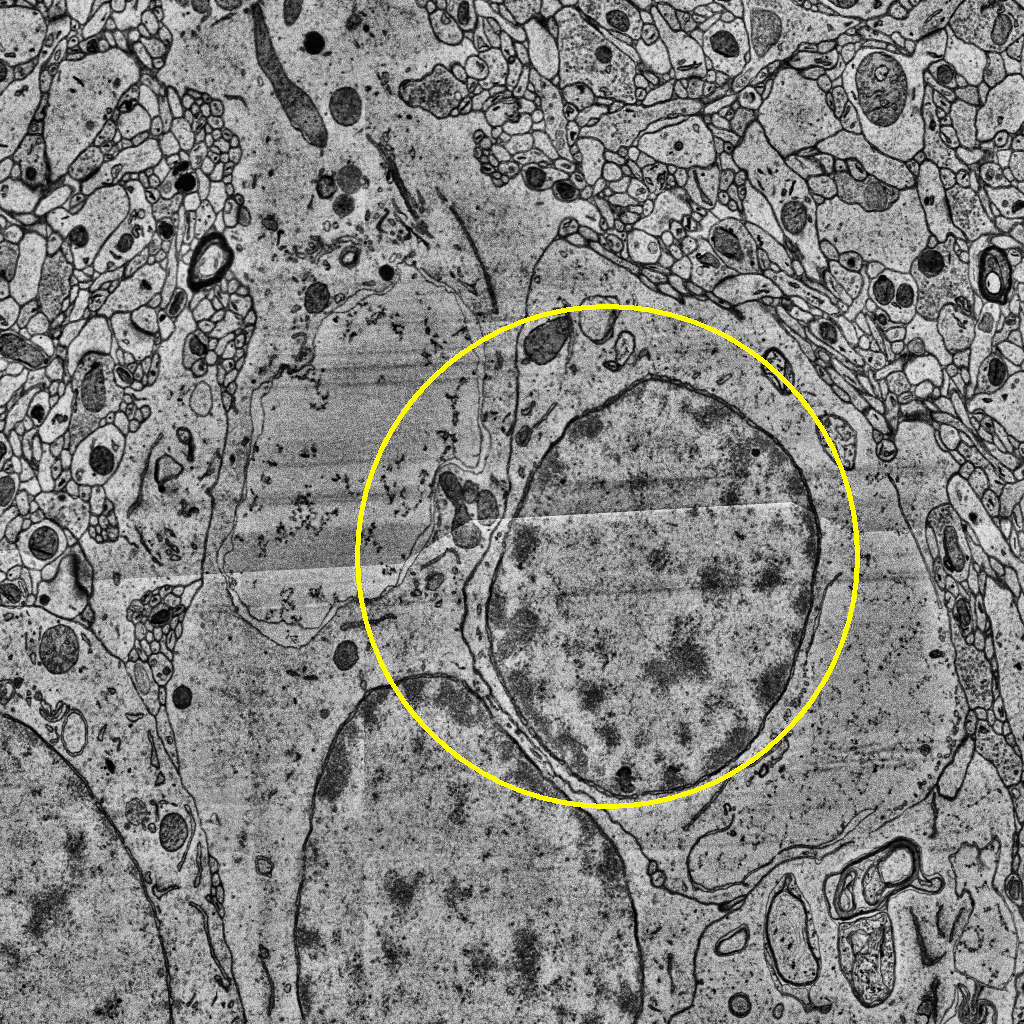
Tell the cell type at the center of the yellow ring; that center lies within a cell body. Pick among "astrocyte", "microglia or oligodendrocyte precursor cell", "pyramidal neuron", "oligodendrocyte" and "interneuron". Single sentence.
The ring's center lies in the body of an astrocyte.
